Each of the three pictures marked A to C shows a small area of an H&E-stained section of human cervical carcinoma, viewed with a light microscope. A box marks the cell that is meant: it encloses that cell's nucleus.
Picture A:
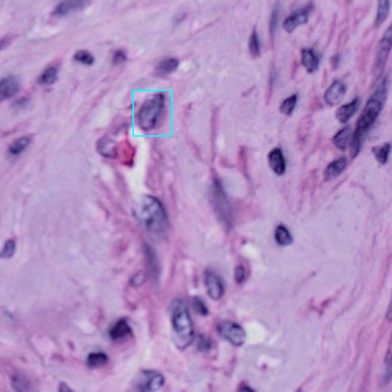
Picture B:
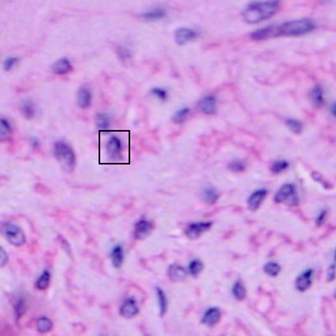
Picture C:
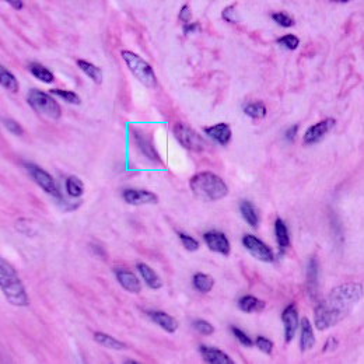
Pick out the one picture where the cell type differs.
B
